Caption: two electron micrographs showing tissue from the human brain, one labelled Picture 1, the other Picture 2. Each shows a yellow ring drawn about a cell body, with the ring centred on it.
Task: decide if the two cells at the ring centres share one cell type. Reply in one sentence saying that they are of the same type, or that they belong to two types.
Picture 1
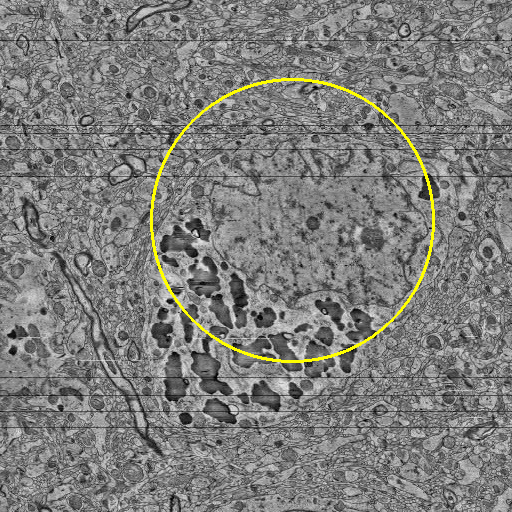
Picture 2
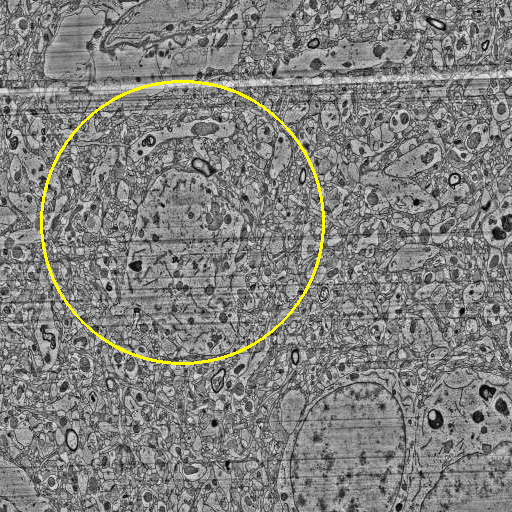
The cells at the ring centres in Picture 1 and Picture 2 belong to two types.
